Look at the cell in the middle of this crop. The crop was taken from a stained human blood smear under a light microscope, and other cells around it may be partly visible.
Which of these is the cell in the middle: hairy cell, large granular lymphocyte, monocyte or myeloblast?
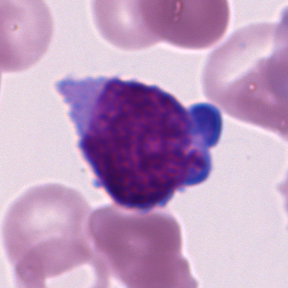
myeloblast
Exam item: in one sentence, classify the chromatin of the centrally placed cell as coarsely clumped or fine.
There is no coarse clumping; the chromatin stays fine throughout.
